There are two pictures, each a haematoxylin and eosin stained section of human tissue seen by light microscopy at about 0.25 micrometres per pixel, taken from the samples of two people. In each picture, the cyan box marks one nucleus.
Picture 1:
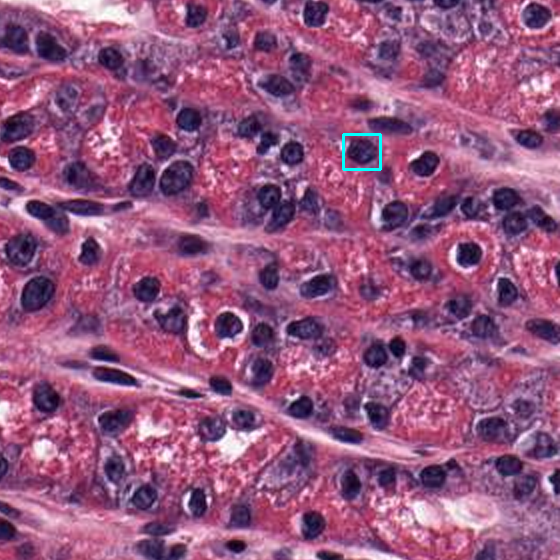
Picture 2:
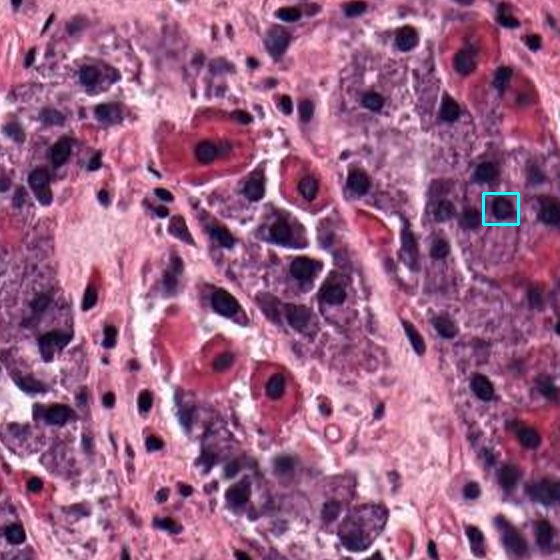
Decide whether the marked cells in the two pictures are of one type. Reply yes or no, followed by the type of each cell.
No, the first is a parietal cell and the second a chief cell.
